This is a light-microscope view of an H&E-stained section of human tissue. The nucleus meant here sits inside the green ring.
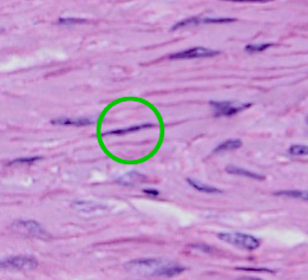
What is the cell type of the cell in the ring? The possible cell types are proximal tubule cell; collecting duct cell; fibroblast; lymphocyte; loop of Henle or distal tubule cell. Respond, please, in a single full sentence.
In this section, the cell in the ring is a fibroblast.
